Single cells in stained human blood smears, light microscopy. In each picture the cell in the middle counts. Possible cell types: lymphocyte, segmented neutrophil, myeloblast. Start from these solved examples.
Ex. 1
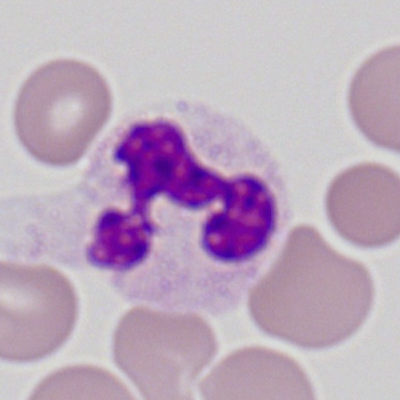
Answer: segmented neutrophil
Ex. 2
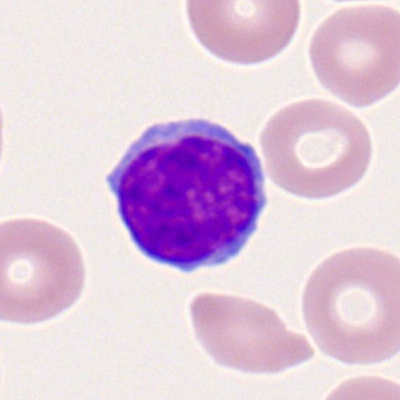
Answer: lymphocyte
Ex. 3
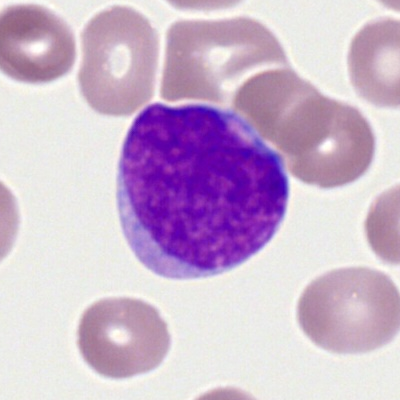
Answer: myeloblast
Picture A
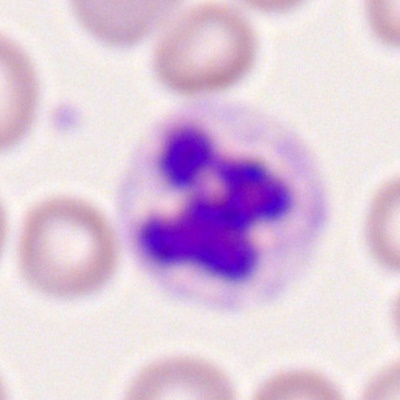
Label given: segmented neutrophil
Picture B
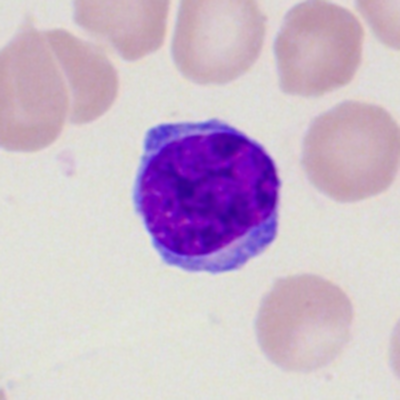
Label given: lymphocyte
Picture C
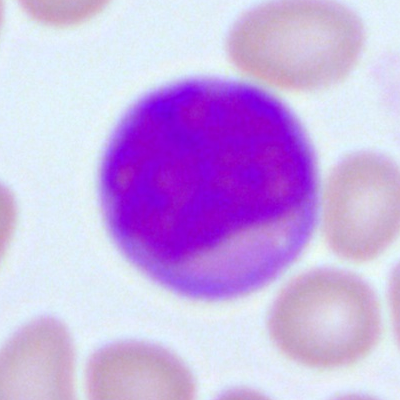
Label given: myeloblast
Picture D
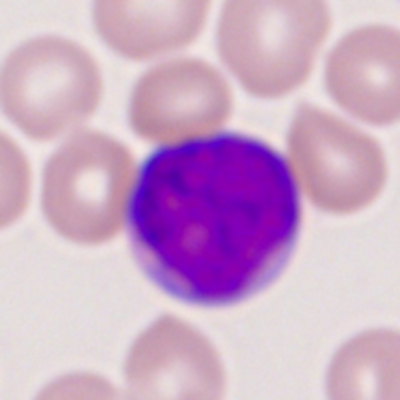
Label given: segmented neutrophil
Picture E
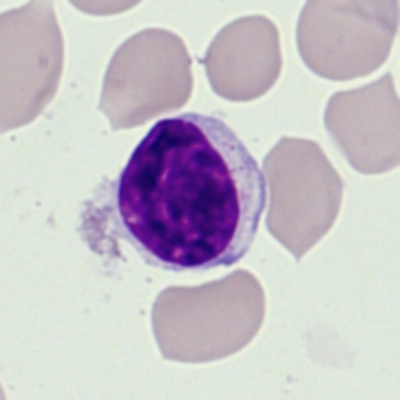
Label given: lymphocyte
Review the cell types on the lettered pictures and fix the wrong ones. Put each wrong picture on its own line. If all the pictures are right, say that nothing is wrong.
D: myeloblast, not segmented neutrophil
